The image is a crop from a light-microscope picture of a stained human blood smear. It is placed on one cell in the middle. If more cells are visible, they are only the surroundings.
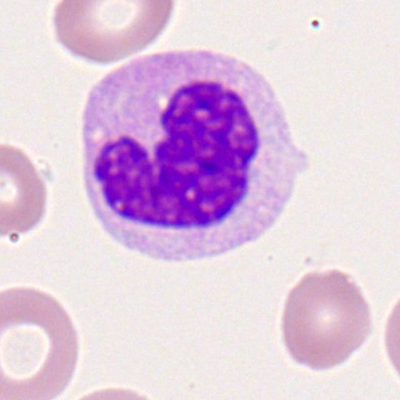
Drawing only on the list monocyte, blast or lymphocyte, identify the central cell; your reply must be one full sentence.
The central cell shown in this smear crop is a monocyte.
